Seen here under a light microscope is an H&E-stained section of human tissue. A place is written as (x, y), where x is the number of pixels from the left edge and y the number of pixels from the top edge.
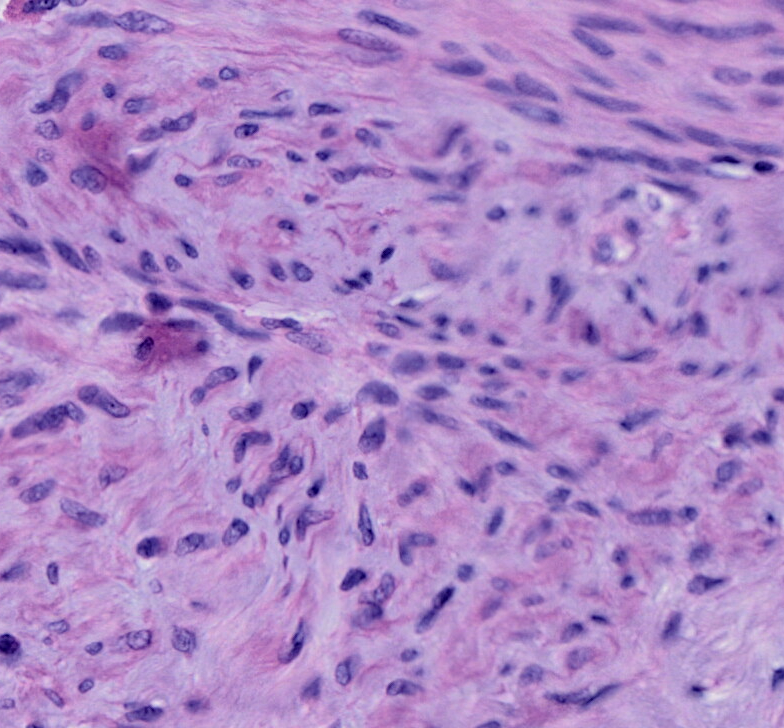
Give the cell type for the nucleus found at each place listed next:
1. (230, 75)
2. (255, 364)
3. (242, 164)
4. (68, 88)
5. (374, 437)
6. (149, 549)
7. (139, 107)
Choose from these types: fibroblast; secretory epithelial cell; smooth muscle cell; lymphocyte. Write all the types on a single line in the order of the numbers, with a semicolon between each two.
smooth muscle cell; fibroblast; smooth muscle cell; smooth muscle cell; fibroblast; lymphocyte; smooth muscle cell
